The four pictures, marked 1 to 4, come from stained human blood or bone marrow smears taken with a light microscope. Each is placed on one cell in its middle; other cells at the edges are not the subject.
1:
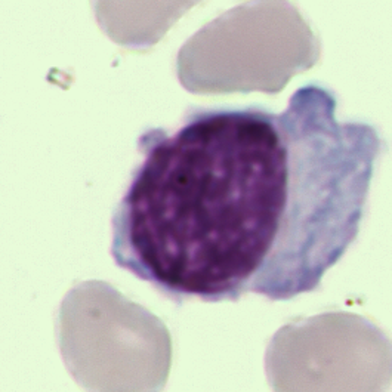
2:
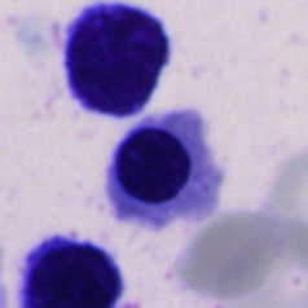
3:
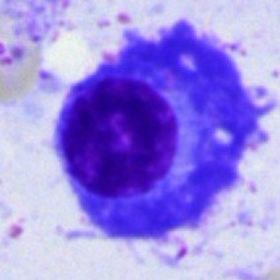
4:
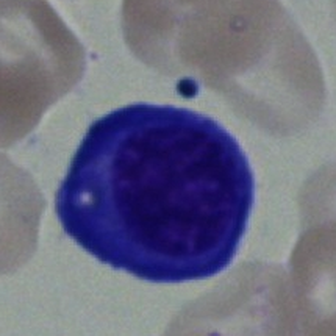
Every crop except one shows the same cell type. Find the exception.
2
